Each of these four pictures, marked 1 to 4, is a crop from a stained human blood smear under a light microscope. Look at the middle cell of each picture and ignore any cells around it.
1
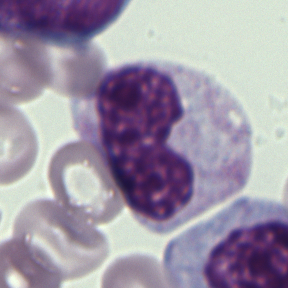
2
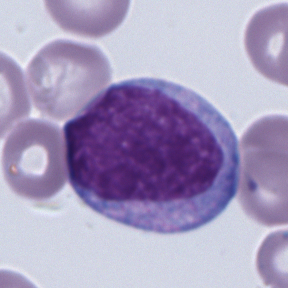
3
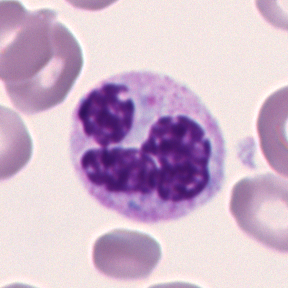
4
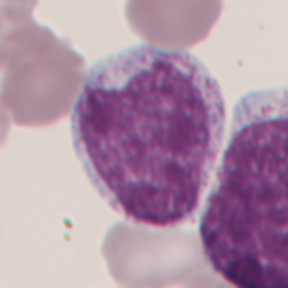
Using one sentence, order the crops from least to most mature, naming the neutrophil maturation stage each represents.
The maturation order of the crops, earliest to latest, is crop 2 (a promyelocyte), crop 4 (a myelocyte), crop 1 (a band neutrophil) and crop 3 (a segmented neutrophil).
